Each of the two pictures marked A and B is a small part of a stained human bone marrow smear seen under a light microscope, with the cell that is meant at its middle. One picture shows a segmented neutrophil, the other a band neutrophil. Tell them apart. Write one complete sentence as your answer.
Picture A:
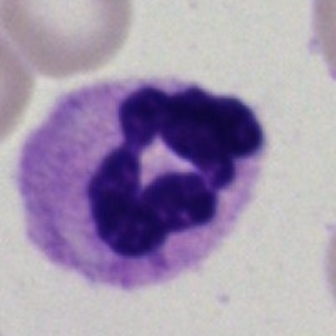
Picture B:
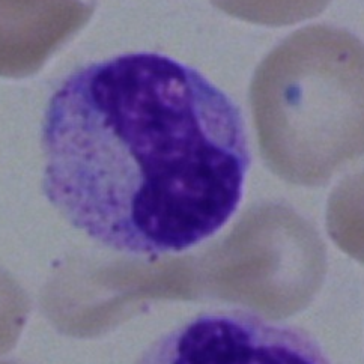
Picture B shows a band neutrophil, while picture A shows a segmented neutrophil.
